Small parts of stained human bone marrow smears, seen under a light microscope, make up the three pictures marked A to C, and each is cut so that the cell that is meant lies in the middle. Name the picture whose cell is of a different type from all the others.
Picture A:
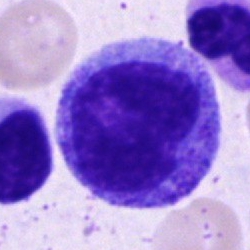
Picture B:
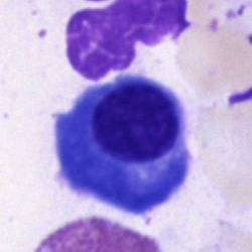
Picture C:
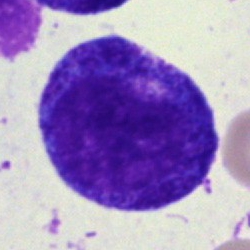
B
